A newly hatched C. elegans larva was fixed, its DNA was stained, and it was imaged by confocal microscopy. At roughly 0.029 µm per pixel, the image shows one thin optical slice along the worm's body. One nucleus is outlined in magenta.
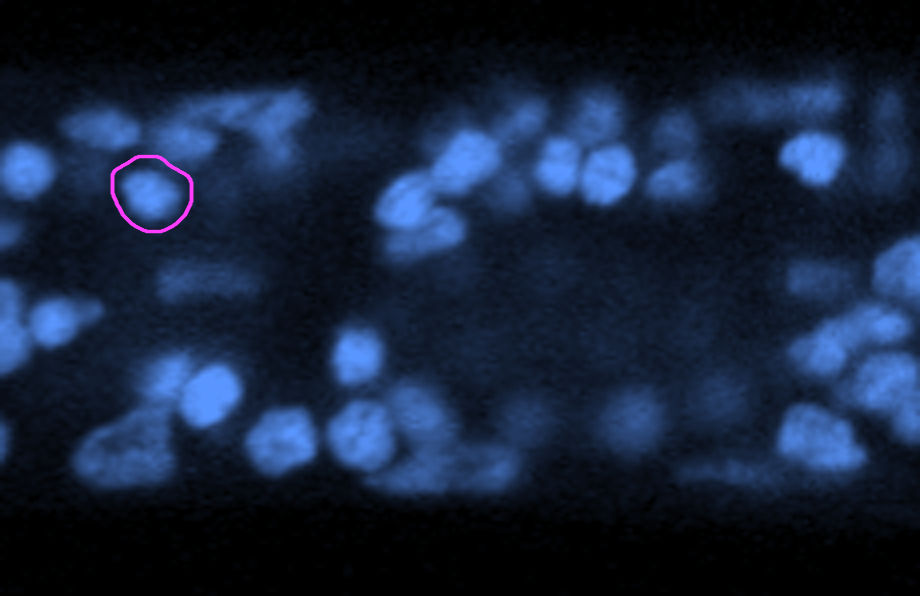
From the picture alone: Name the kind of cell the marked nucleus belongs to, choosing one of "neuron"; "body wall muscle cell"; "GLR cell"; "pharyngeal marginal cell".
neuron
